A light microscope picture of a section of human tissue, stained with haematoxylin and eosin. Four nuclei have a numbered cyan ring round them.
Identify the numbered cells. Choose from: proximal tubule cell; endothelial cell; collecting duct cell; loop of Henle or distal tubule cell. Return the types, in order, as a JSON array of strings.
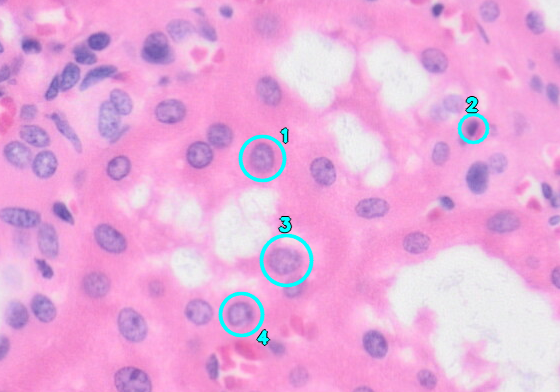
["proximal tubule cell", "endothelial cell", "proximal tubule cell", "proximal tubule cell"]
